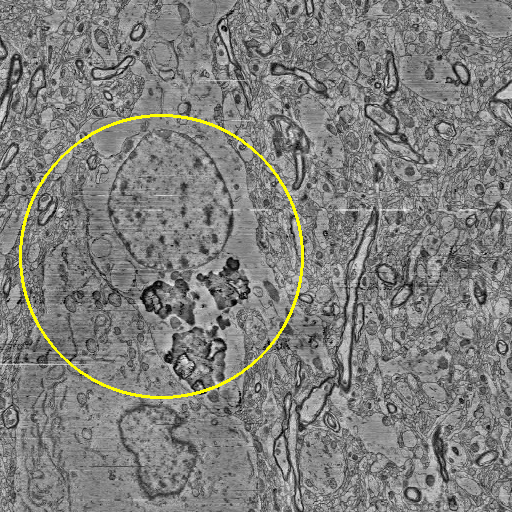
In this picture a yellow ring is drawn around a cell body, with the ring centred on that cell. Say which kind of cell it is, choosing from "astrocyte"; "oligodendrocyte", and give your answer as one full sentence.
Here it is an astrocyte that sits at the centre of the drawn yellow ring.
